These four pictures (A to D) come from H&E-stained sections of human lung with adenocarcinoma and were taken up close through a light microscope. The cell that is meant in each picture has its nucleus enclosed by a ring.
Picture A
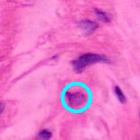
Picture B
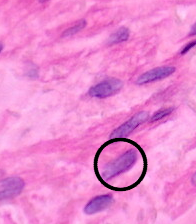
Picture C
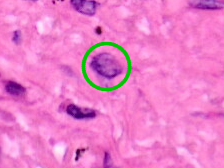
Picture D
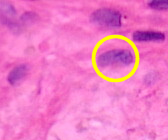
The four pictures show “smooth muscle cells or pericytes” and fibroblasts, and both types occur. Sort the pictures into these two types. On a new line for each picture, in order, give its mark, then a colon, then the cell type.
A: smooth muscle cell or pericyte
B: smooth muscle cell or pericyte
C: fibroblast
D: smooth muscle cell or pericyte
